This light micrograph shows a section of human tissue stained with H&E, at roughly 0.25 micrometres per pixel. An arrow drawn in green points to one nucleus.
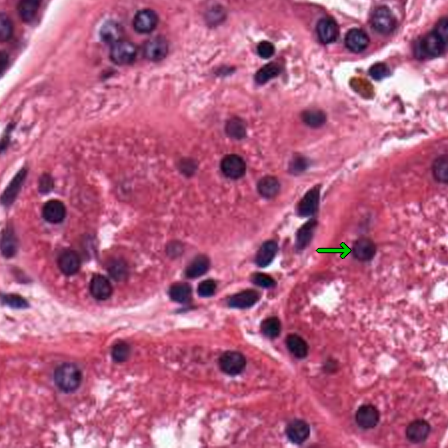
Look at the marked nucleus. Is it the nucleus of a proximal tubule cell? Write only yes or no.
yes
